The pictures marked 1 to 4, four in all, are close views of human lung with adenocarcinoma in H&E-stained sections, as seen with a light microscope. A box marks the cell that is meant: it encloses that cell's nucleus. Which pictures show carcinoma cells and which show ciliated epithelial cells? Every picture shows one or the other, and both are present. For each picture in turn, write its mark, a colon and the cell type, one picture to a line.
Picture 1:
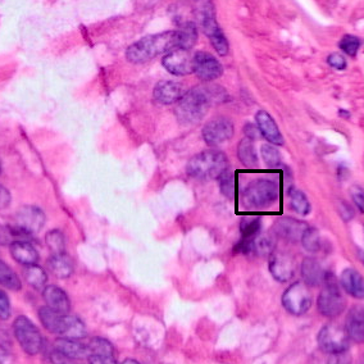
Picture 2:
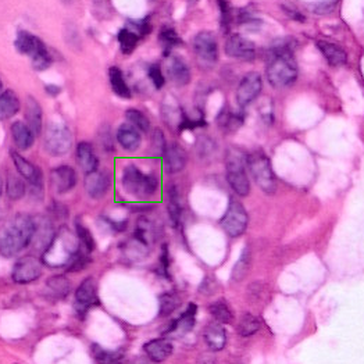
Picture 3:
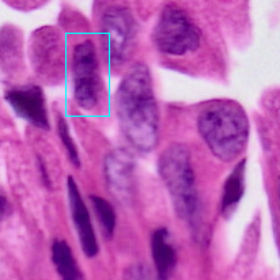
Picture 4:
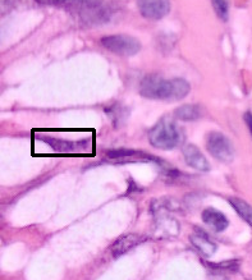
1: ciliated epithelial cell
2: ciliated epithelial cell
3: carcinoma cell
4: ciliated epithelial cell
